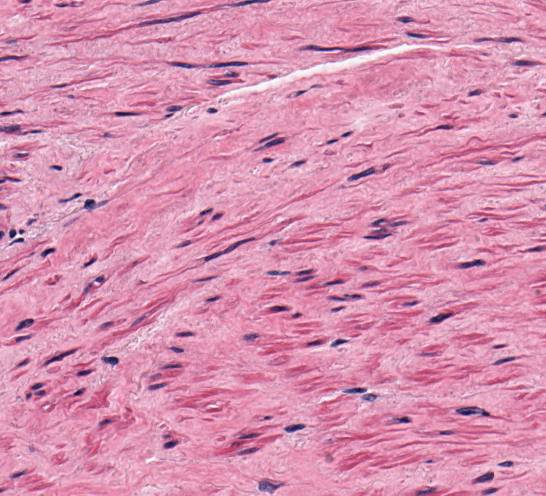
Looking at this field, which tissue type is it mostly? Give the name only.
tunica media of an artery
